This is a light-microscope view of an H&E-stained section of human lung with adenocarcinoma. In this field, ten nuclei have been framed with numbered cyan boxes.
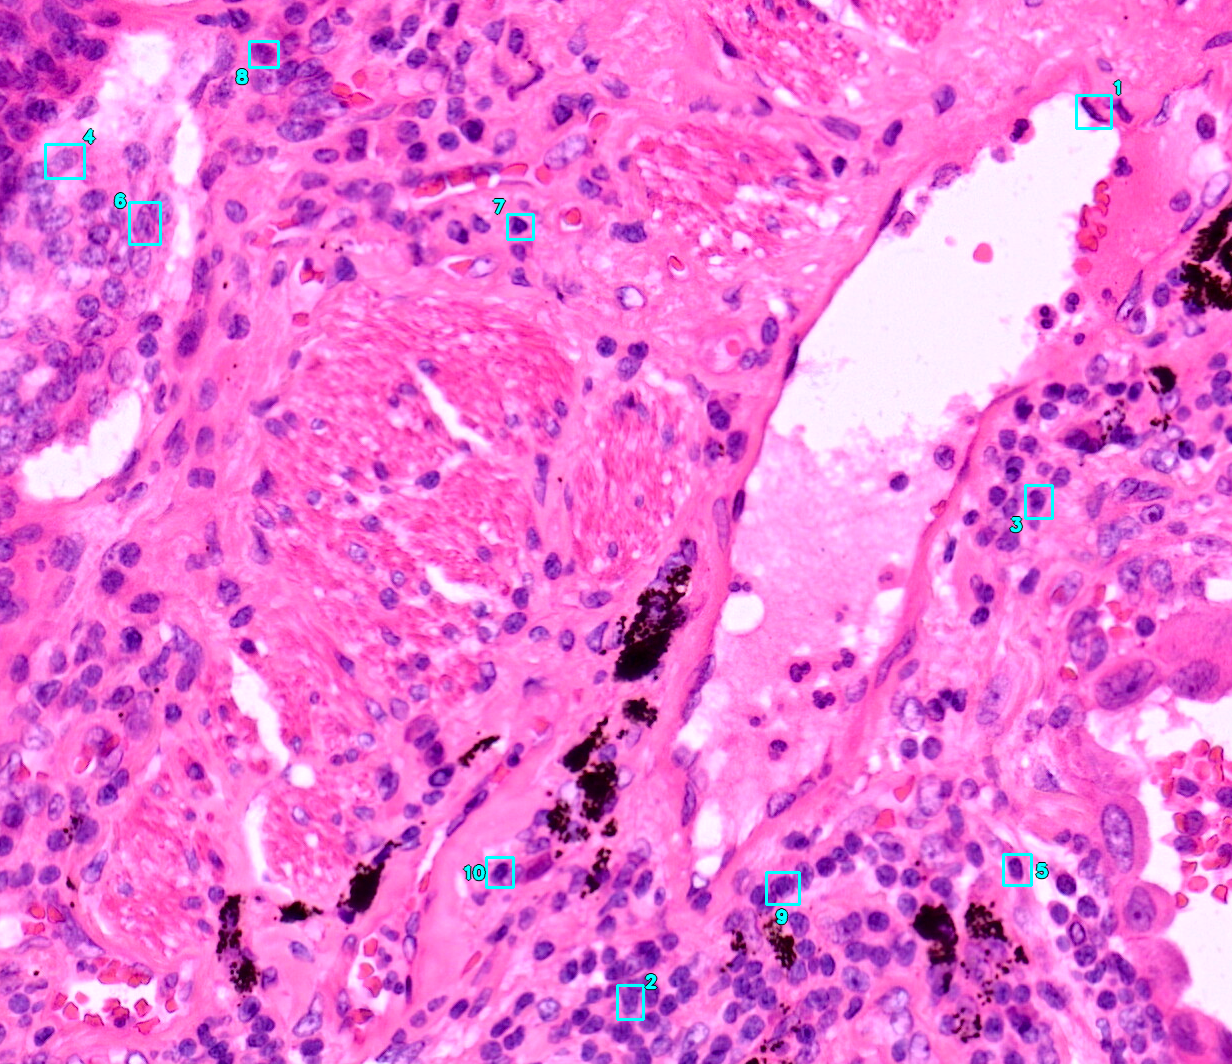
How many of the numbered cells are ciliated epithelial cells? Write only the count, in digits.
2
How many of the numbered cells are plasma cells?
1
